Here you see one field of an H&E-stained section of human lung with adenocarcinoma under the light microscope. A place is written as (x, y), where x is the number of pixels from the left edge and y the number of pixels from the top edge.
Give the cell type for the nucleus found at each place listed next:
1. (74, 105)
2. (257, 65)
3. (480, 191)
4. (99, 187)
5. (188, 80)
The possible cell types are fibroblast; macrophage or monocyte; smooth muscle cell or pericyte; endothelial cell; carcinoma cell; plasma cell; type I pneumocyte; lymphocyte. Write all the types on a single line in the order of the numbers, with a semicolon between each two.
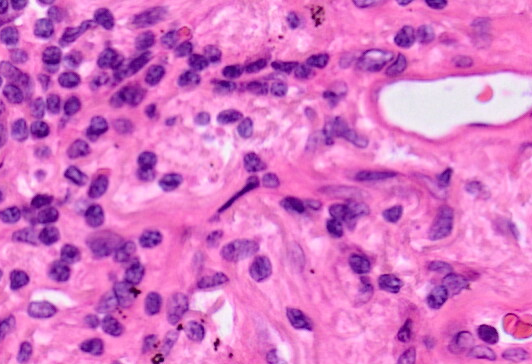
lymphocyte; plasma cell; fibroblast; lymphocyte; lymphocyte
